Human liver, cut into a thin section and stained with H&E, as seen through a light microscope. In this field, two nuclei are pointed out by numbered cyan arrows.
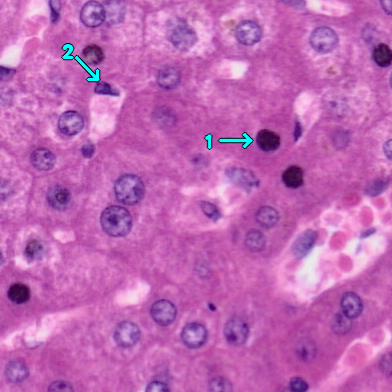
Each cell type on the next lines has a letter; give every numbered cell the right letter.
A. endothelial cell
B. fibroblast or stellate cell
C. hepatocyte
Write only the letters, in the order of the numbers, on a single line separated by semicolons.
C; A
